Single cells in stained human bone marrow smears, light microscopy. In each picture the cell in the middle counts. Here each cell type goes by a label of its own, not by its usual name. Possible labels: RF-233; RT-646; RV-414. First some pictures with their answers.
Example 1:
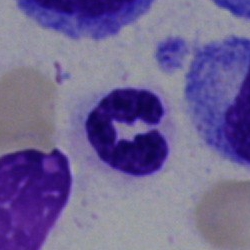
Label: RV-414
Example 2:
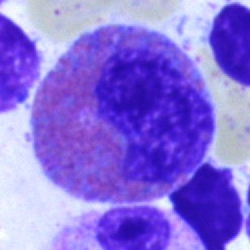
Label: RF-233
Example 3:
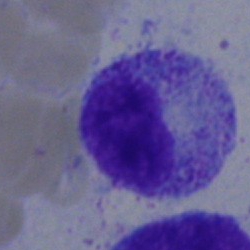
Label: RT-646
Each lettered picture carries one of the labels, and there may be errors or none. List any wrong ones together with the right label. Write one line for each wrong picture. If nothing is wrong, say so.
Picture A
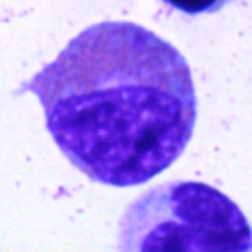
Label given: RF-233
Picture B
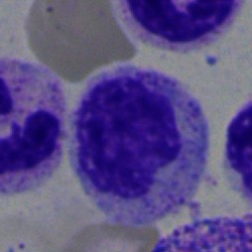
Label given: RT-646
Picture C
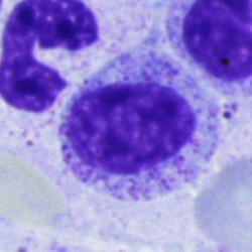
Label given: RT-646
No label is wrong.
